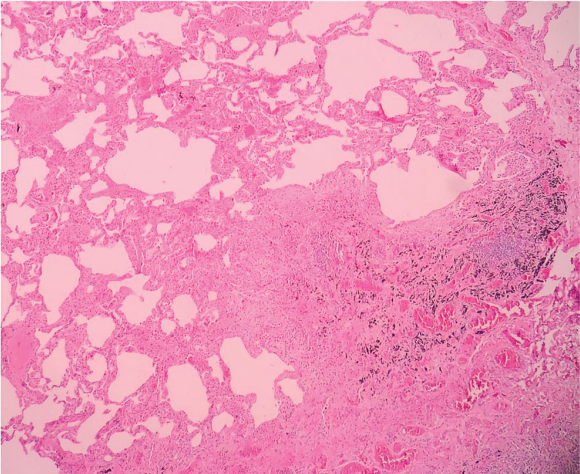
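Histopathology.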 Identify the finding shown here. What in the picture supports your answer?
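Black pigment lies within the dense region.
Conclusion: marked fibrosis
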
